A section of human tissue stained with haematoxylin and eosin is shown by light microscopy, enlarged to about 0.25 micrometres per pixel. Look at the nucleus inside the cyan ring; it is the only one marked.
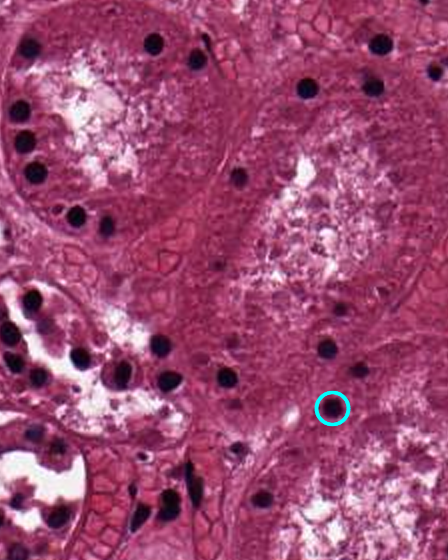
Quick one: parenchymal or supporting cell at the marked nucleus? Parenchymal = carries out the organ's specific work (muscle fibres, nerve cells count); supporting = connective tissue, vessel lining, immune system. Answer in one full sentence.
On this slide the marked nucleus belongs to a parenchymal cell, namely a proximal tubule cell.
